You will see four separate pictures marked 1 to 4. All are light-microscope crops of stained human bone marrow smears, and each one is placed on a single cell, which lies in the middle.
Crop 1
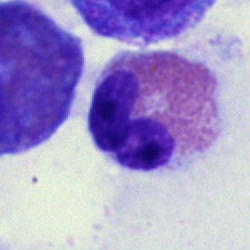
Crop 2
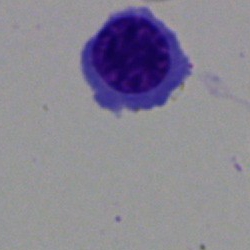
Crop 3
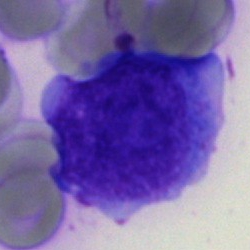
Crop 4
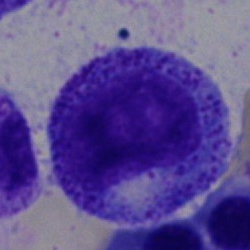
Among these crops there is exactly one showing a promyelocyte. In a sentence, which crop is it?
Of the labelled crops, the one that shows a promyelocyte is crop 4.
